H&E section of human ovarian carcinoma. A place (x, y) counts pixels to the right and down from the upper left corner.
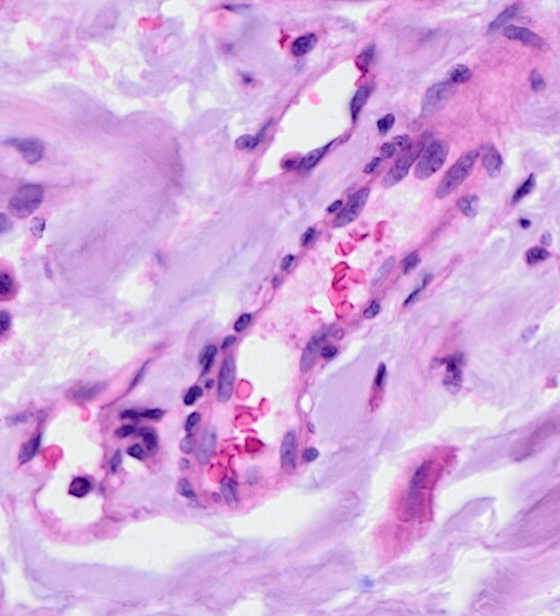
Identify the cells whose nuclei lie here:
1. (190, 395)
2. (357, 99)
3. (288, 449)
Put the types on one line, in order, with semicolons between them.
lymphocyte; endothelial cell; endothelial cell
